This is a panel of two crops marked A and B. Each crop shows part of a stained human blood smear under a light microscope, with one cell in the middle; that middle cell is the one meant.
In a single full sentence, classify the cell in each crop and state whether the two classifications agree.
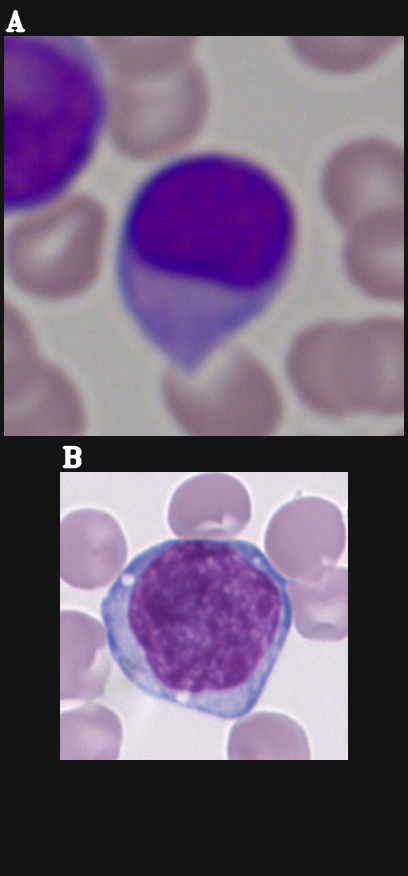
Yes, both crops do show blasts in the middle.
